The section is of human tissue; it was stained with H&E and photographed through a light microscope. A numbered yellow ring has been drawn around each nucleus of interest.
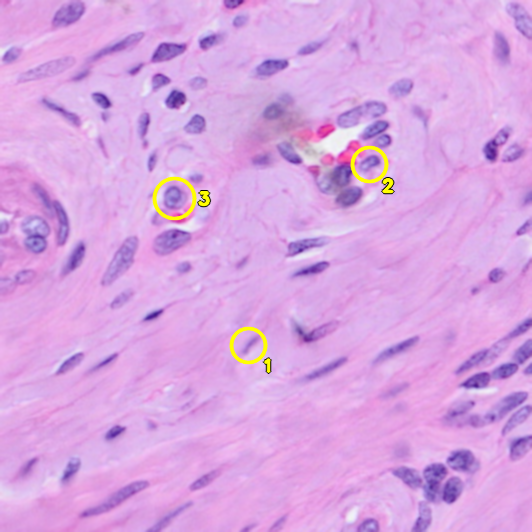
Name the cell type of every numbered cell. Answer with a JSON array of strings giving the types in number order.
["fibroblast", "endothelial cell", "endothelial cell"]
